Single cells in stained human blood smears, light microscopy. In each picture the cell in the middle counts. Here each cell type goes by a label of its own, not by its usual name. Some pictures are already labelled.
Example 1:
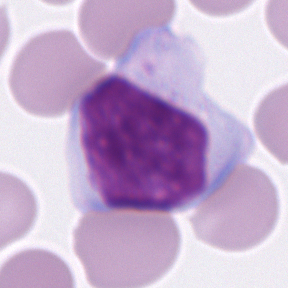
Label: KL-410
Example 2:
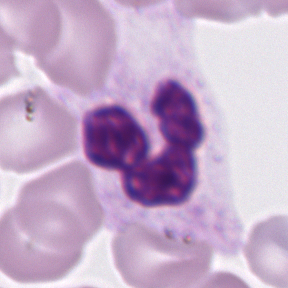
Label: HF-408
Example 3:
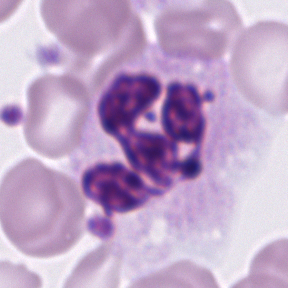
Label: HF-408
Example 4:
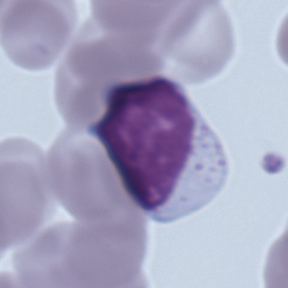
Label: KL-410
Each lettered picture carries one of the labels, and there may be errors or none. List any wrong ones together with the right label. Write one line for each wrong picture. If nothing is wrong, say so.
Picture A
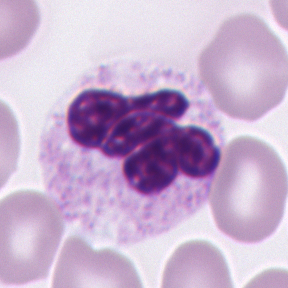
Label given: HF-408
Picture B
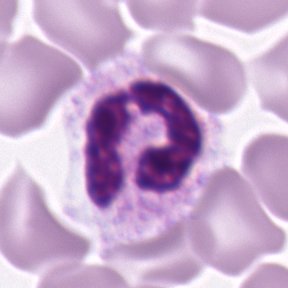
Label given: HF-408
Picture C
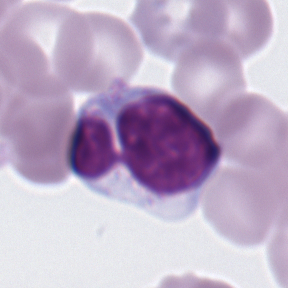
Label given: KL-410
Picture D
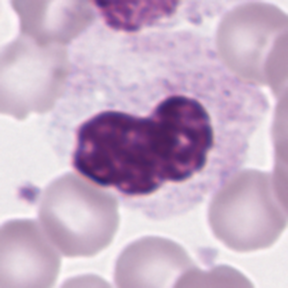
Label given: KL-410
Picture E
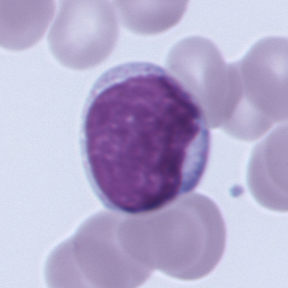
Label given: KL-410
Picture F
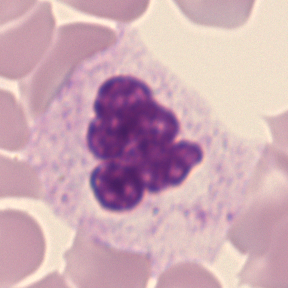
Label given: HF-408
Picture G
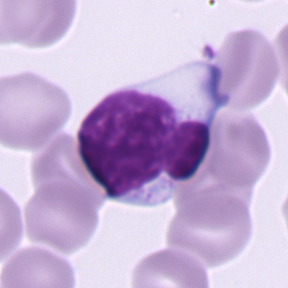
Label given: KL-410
Wrong: D (KL-410); correct: HF-408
